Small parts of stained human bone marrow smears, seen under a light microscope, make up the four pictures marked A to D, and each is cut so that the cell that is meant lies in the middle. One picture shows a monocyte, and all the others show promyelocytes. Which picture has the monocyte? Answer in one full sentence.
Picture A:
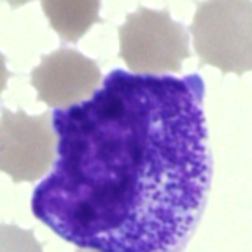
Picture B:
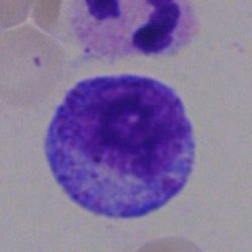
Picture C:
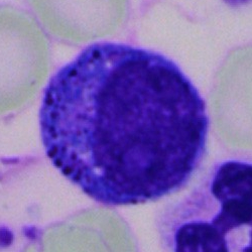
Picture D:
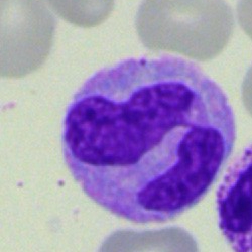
The picture with the monocyte is D.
